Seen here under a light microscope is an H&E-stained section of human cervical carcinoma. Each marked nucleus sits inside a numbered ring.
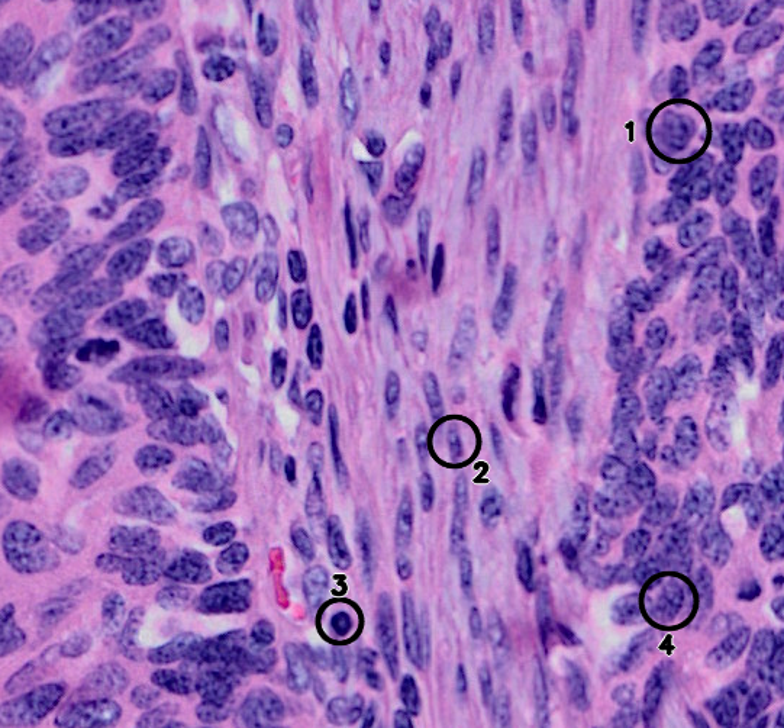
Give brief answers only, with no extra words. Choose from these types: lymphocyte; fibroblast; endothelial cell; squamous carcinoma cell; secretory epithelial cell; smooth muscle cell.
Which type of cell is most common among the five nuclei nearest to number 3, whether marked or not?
fibroblast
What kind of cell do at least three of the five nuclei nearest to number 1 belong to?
squamous carcinoma cell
